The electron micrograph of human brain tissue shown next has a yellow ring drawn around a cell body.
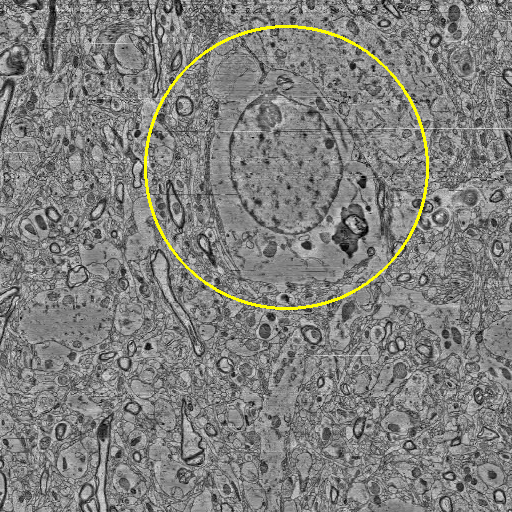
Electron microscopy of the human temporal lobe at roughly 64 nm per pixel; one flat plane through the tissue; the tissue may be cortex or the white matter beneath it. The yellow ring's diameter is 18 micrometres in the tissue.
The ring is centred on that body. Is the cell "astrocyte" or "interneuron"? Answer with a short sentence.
The cell in question is an astrocyte.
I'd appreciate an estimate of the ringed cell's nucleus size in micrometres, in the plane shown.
The nucleus has a long axis of about 10 micrometres and a short axis of about 7 micrometres in this plane.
